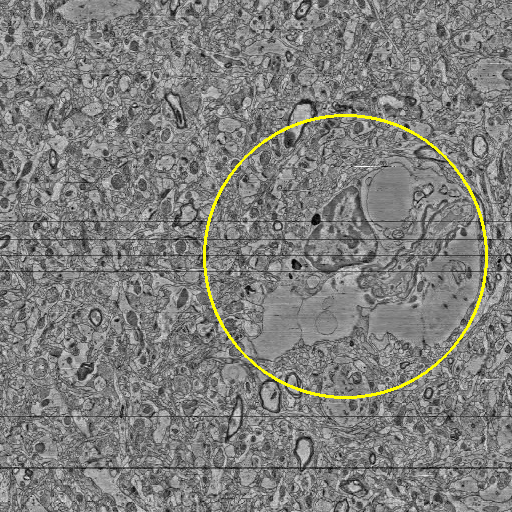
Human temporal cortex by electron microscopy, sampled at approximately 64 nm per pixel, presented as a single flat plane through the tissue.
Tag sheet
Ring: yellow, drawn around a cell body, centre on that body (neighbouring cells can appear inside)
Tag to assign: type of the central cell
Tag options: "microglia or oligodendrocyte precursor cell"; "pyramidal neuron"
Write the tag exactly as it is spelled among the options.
microglia or oligodendrocyte precursor cell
